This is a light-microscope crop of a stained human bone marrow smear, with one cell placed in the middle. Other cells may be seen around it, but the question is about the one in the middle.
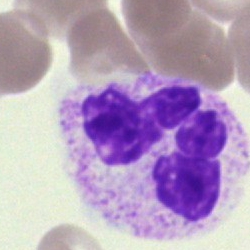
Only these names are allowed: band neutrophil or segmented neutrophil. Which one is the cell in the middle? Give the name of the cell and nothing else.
segmented neutrophil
